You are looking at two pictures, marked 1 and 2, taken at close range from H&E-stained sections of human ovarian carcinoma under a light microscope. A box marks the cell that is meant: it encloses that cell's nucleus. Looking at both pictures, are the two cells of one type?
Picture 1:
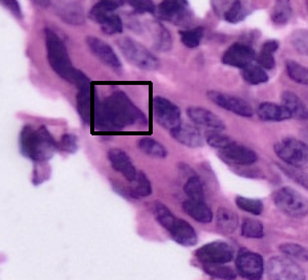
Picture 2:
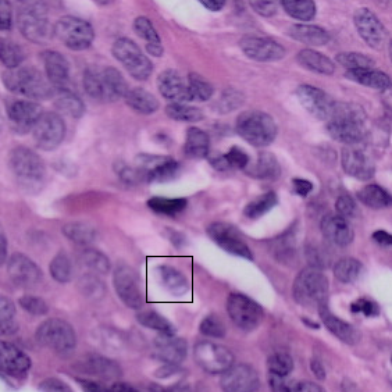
no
